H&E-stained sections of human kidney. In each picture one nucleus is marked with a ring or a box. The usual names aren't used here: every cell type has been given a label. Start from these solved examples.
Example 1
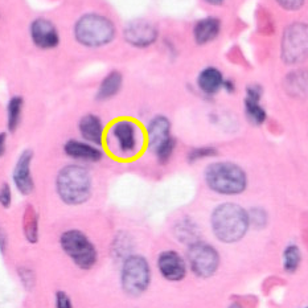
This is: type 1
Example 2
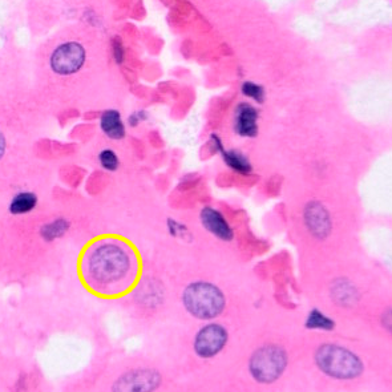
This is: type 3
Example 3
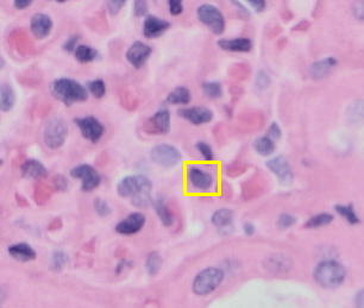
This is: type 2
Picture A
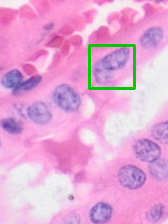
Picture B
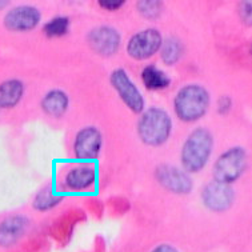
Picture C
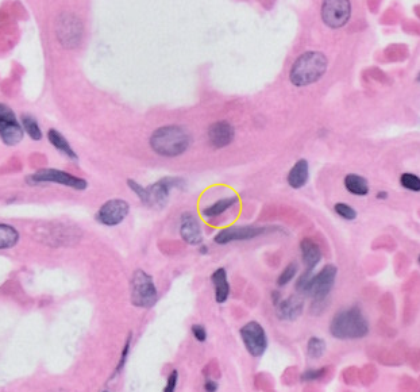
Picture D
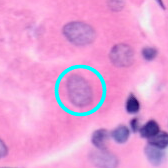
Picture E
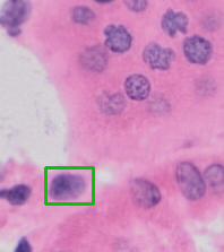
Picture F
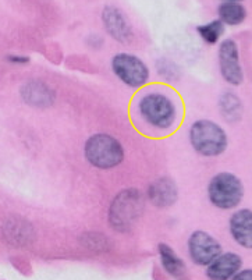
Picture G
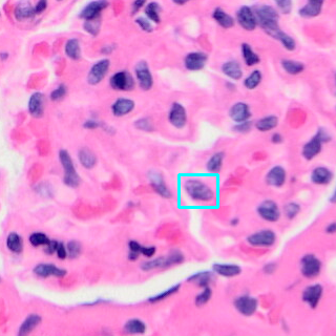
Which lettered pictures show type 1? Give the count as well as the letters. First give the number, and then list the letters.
3: A, B, F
